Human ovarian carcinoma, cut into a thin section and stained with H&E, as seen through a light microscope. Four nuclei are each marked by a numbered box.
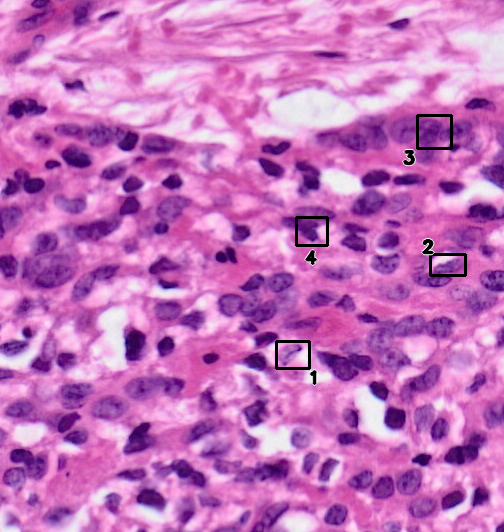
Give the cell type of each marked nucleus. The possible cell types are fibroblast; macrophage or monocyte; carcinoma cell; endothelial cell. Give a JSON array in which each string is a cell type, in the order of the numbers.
["macrophage or monocyte", "endothelial cell", "carcinoma cell", "carcinoma cell"]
